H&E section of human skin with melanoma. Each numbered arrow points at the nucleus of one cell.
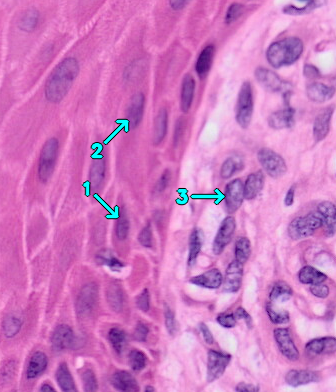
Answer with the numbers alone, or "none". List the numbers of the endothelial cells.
3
